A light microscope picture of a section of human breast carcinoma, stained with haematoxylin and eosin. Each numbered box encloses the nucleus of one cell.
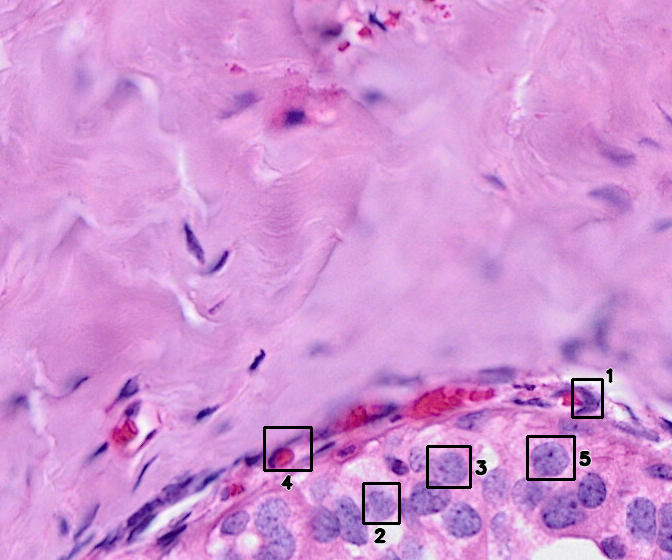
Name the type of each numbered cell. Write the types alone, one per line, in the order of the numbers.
endothelial cell
carcinoma cell
carcinoma cell
endothelial cell
carcinoma cell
